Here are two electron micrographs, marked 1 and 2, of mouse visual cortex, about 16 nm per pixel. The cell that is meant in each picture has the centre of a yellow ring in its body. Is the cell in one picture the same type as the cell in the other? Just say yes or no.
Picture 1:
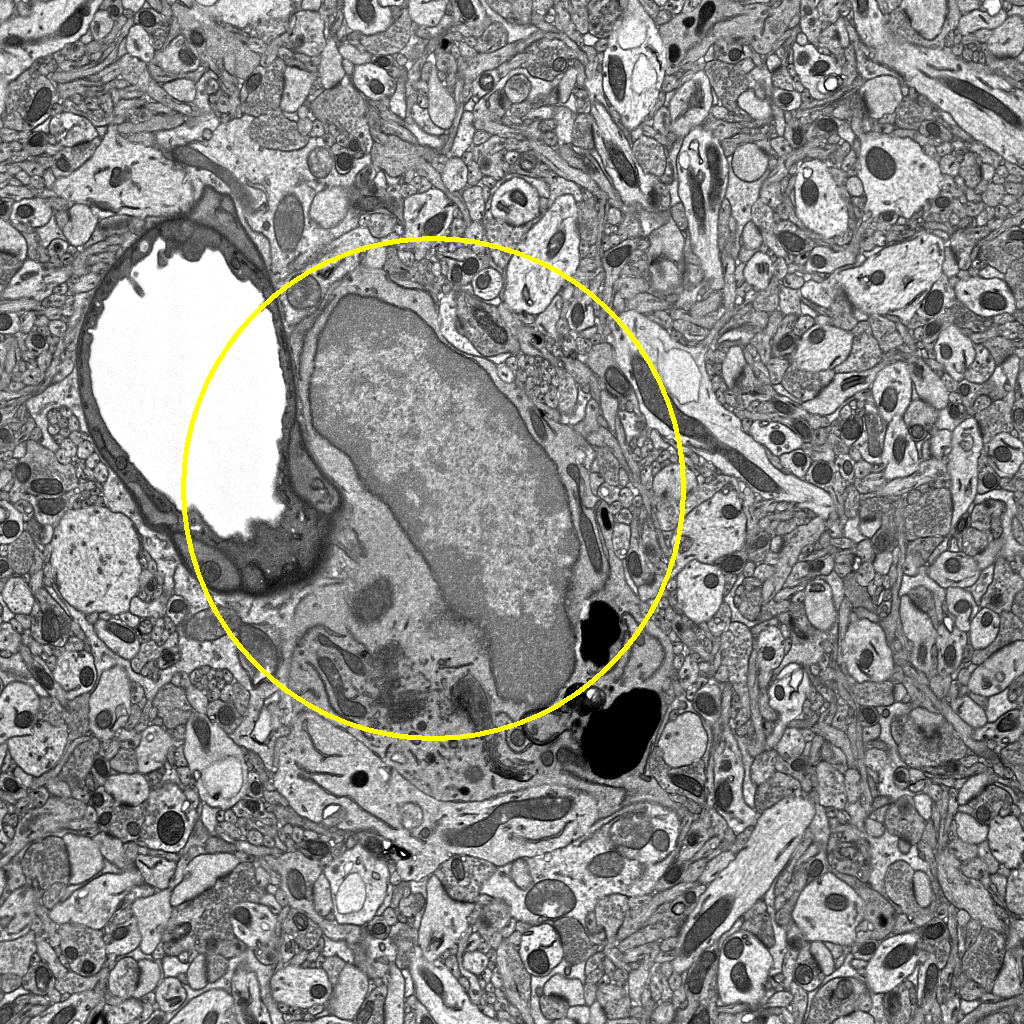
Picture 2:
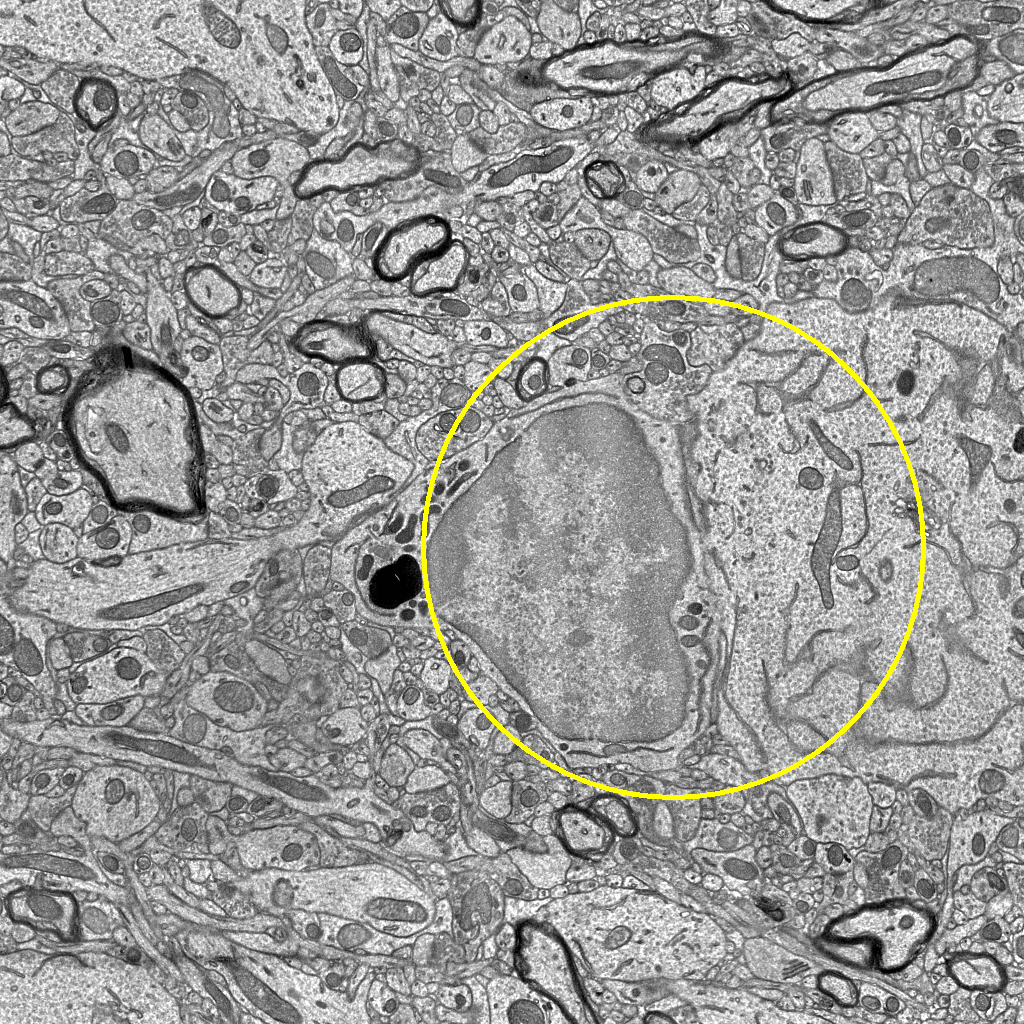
yes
